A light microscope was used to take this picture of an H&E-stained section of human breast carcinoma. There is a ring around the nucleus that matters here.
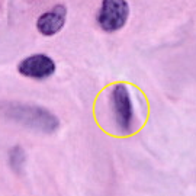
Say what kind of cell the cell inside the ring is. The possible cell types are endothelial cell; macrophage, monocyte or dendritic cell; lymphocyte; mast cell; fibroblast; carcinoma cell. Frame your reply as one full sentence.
The identity of the cell inside the ring: it is a fibroblast.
